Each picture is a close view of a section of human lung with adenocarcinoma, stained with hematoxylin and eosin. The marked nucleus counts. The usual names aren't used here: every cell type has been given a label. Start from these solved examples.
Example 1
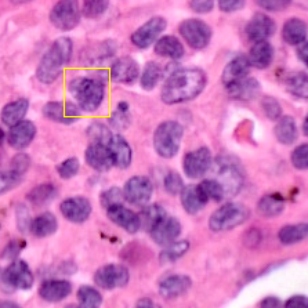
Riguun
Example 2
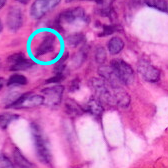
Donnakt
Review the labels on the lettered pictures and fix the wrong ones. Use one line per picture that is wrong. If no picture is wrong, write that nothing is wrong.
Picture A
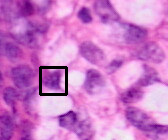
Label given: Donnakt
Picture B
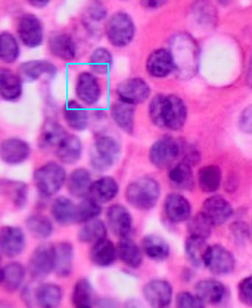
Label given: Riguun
Nothing to fix; every label fits.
